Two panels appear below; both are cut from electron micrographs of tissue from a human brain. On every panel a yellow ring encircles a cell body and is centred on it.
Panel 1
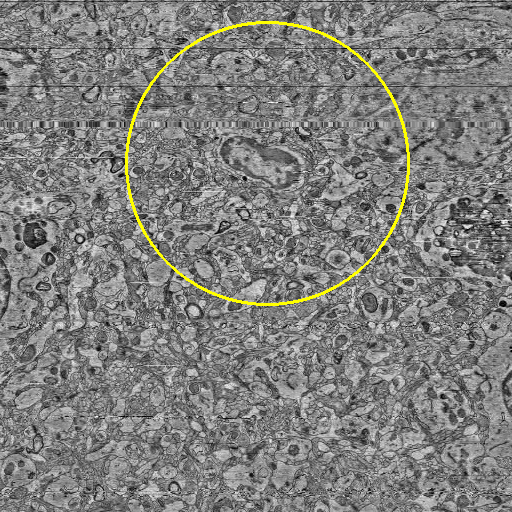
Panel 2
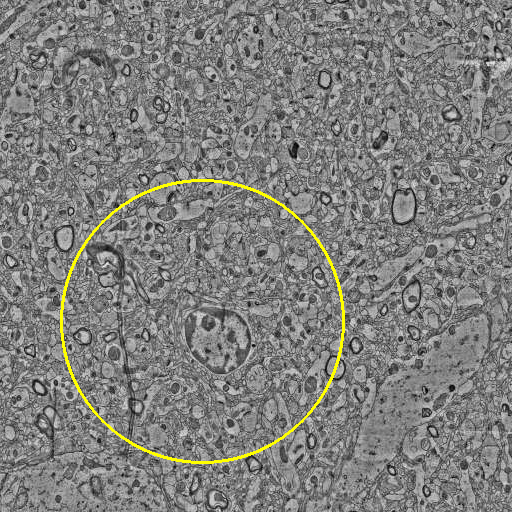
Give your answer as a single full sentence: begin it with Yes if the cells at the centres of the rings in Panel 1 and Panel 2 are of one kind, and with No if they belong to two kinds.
Yes, the cells in the middle of the rings in Panels 1 and 2 are of one kind.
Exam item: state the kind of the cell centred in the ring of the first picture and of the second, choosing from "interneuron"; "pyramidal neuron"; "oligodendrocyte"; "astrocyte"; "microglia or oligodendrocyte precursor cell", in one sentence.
The cell at the ring centre is a microglial cell or oligodendrocyte precursor cell in both pictures.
